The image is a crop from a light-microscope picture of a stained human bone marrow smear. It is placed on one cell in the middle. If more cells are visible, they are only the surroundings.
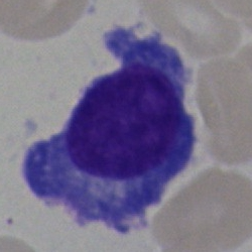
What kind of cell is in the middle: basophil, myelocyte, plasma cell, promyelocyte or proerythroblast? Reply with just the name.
plasma cell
